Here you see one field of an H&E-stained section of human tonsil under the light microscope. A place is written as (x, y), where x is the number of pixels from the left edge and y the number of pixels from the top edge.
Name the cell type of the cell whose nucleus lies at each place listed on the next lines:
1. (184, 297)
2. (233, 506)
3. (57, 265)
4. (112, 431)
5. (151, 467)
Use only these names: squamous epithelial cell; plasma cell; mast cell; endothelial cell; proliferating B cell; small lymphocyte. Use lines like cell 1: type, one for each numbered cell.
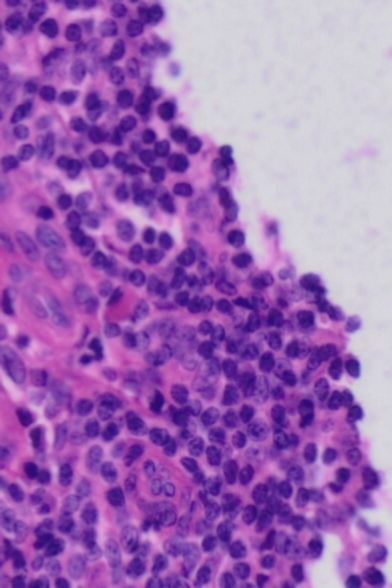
cell 1: small lymphocyte
cell 2: small lymphocyte
cell 3: endothelial cell
cell 4: small lymphocyte
cell 5: endothelial cell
